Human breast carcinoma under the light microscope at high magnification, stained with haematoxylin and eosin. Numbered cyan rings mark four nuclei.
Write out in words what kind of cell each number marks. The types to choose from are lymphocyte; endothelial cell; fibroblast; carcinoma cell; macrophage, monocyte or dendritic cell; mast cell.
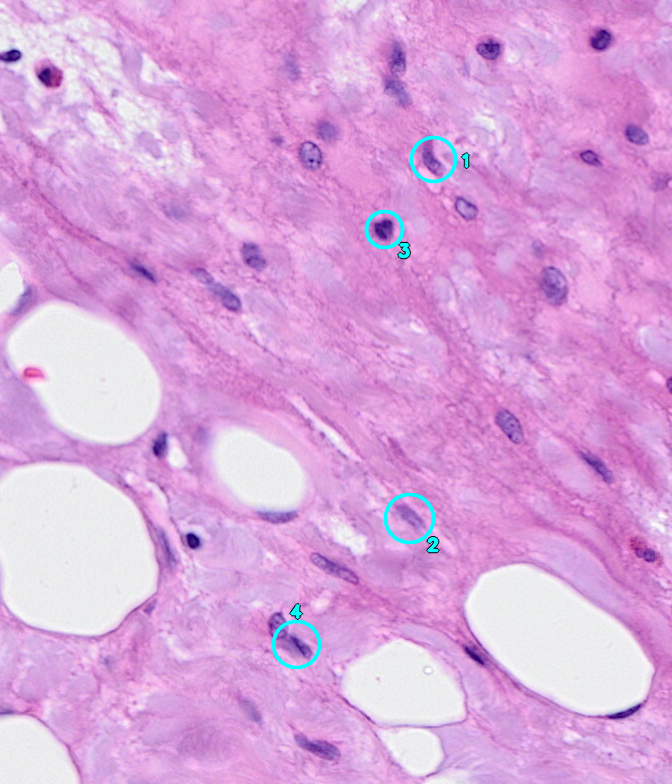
Cell 1 is a fibroblast, cell 2 is a fibroblast, cell 3 is a lymphocyte and cell 4 is a fibroblast.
